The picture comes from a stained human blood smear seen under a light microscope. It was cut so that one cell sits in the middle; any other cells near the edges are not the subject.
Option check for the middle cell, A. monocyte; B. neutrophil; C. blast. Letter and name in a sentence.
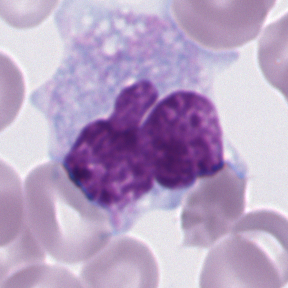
The cell in the middle is a monocyte, and that makes option A correct.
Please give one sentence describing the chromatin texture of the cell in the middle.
The chromatin shows a fine pattern without coarse clumps.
